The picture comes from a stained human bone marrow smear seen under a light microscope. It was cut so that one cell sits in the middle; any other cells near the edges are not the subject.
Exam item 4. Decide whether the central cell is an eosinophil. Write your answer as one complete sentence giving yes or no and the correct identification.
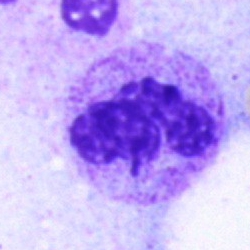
No, the centred cell is a segmented neutrophil, and it is not an eosinophil.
